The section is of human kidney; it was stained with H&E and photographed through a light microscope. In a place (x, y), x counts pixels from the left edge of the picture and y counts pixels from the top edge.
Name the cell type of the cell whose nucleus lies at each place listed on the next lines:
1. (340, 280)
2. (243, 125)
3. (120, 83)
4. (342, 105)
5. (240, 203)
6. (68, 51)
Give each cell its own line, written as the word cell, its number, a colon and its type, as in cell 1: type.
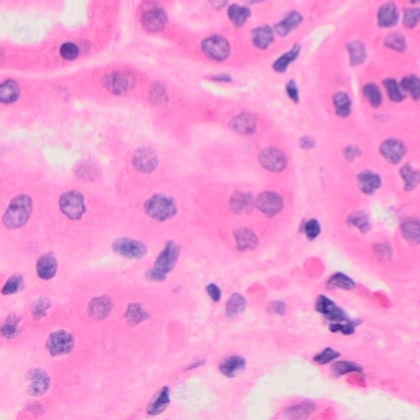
cell 1: endothelial cell
cell 2: proximal tubule cell
cell 3: proximal tubule cell
cell 4: loop of Henle or distal tubule cell
cell 5: proximal tubule cell
cell 6: proximal tubule cell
